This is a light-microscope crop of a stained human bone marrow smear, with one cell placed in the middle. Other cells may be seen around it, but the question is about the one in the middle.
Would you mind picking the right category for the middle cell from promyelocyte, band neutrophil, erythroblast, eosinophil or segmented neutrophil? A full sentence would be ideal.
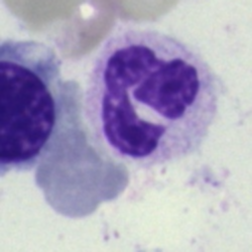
Regarding the central cell, it is a segmented neutrophil.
